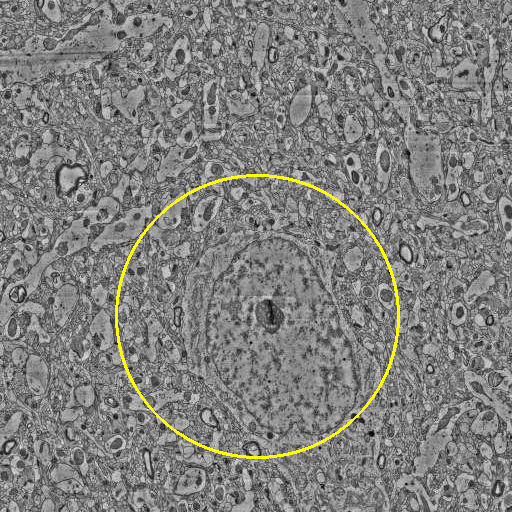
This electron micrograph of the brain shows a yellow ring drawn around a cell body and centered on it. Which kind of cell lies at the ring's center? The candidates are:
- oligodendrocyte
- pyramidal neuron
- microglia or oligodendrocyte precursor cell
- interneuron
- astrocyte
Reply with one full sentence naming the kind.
The cell lying at the ring's center in this micrograph is an interneuron.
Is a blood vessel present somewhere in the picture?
No, the picture includes no blood vessel.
